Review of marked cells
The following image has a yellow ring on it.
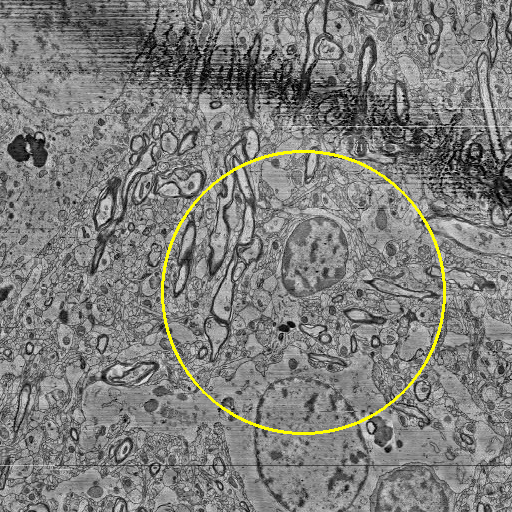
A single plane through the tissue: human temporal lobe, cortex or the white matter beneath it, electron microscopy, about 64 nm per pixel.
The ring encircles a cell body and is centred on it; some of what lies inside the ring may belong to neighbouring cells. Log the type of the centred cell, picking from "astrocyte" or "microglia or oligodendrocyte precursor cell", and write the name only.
microglia or oligodendrocyte precursor cell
